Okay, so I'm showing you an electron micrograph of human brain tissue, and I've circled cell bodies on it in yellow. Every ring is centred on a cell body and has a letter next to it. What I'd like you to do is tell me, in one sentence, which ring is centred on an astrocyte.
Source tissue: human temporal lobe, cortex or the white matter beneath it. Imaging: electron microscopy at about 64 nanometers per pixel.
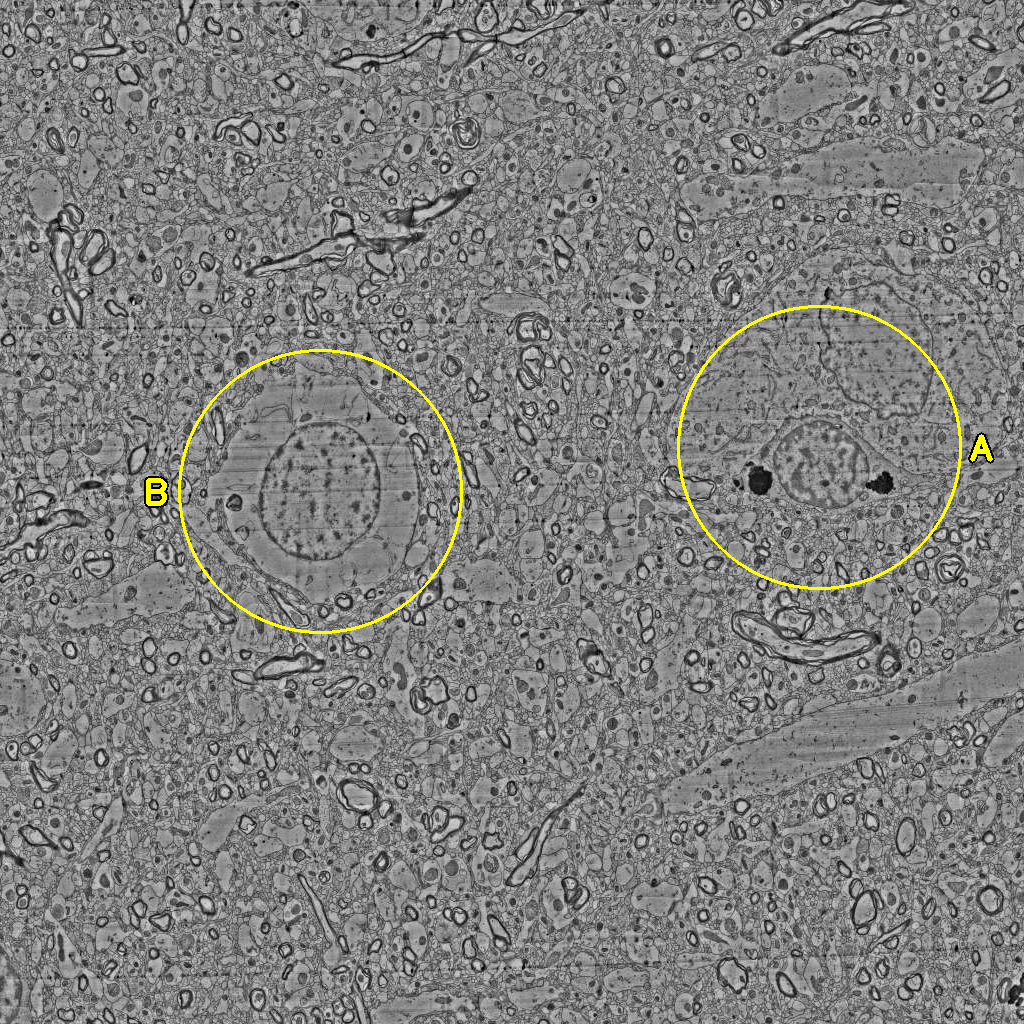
It's ring B.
